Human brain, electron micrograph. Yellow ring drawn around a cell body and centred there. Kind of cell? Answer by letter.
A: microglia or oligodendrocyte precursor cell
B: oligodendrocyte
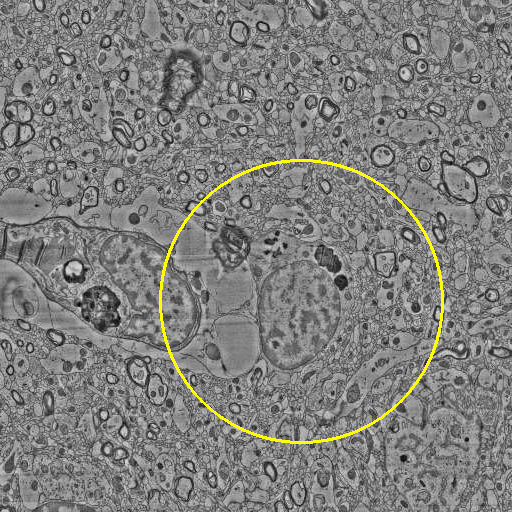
B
